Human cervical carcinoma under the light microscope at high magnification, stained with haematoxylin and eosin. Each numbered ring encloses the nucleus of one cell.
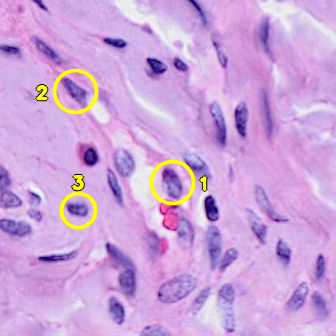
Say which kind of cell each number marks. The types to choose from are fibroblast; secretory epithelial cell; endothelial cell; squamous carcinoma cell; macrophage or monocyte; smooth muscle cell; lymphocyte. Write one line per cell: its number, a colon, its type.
1: endothelial cell
2: endothelial cell
3: fibroblast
